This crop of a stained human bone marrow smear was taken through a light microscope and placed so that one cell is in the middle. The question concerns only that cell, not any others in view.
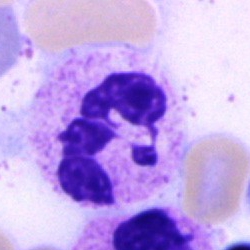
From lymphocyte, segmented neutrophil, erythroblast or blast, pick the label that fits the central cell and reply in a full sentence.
Regarding the central cell, it is a segmented neutrophil.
